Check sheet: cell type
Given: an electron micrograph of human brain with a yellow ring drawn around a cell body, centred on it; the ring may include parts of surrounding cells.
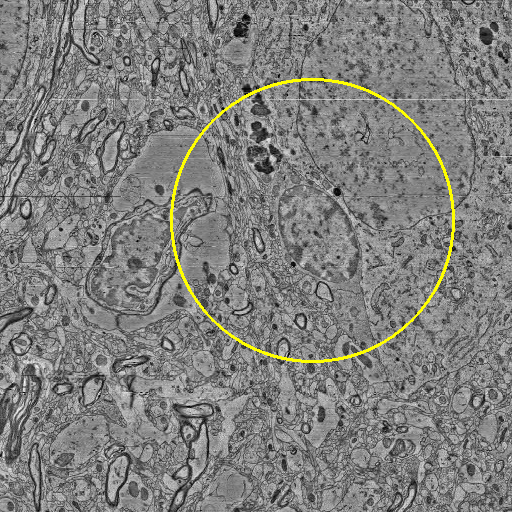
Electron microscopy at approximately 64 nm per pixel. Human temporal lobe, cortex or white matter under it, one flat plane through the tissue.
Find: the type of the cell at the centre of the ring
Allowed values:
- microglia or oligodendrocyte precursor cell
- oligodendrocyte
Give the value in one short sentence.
Here the ringed cell is an oligodendrocyte.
